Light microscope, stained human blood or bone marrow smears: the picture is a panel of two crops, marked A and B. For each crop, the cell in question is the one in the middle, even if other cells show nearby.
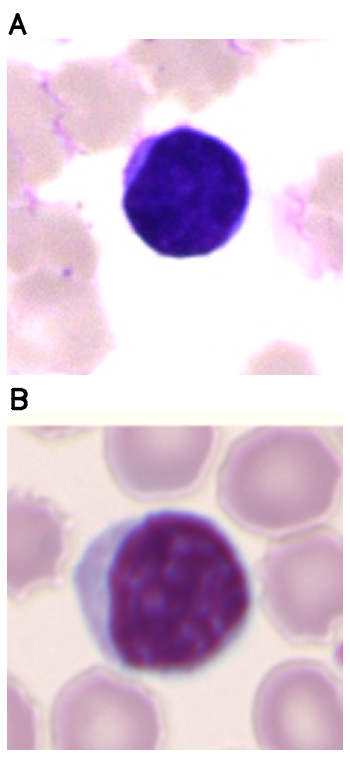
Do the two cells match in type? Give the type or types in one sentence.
Yes, both crops show lymphocytes, to put it briefly.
